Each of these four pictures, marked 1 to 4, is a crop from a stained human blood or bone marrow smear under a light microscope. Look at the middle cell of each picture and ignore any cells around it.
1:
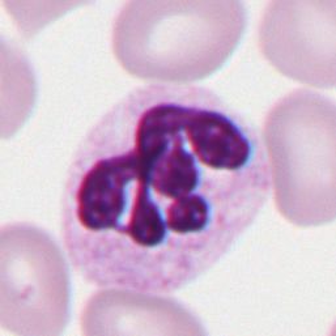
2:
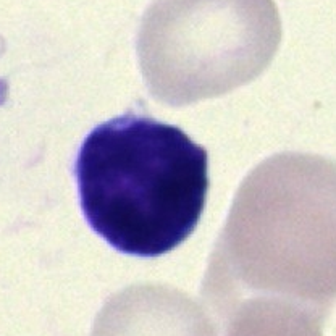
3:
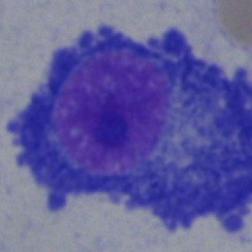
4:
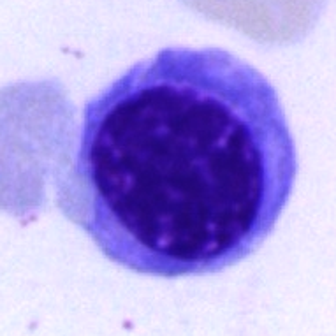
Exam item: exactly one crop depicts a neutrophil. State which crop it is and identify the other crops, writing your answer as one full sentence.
Crop 1 is a neutrophil and, for the others, crop 2 is a lymphocyte, crop 3 is a plasma cell and crop 4 is a normoblast.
